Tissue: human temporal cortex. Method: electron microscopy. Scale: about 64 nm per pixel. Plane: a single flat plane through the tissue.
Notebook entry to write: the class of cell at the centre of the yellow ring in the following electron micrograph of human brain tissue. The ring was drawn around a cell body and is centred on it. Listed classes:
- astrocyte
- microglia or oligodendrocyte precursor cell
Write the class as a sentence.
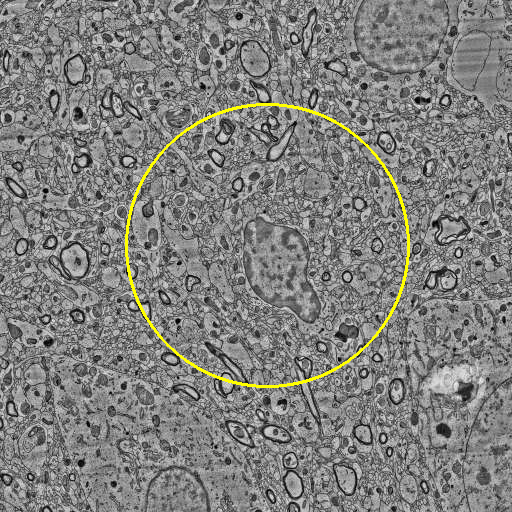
The yellow ring sits on a microglial cell or oligodendrocyte precursor cell.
